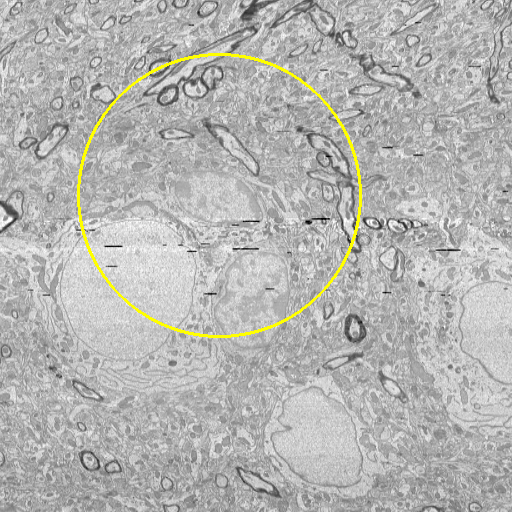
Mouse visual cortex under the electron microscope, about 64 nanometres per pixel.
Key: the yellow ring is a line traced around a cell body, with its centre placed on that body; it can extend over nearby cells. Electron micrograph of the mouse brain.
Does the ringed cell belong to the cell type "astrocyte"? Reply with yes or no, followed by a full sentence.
No, the cell at the centre of the yellow ring in the picture is of another type.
